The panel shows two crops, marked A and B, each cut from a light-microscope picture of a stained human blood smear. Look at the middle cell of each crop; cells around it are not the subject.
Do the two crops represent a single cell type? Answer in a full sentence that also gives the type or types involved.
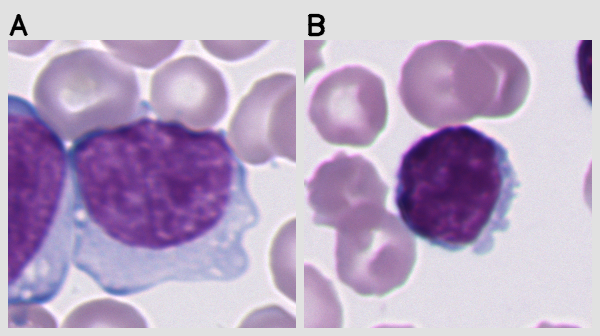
No, crop A depicts a myeloblast; crop B depicts a typical lymphocyte.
